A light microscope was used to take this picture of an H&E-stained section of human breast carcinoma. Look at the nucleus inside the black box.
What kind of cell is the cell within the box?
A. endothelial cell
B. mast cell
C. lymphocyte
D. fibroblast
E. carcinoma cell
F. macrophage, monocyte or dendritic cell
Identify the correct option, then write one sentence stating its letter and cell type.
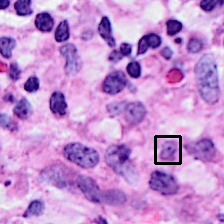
Option F is the one to take: the cell within the box is a macrophage, monocyte or dendritic cell.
